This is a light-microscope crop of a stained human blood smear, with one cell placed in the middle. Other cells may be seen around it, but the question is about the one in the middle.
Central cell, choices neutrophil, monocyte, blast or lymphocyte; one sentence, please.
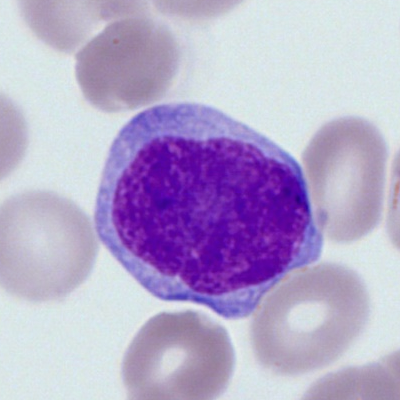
The cell at the central position in this crop is a blast.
